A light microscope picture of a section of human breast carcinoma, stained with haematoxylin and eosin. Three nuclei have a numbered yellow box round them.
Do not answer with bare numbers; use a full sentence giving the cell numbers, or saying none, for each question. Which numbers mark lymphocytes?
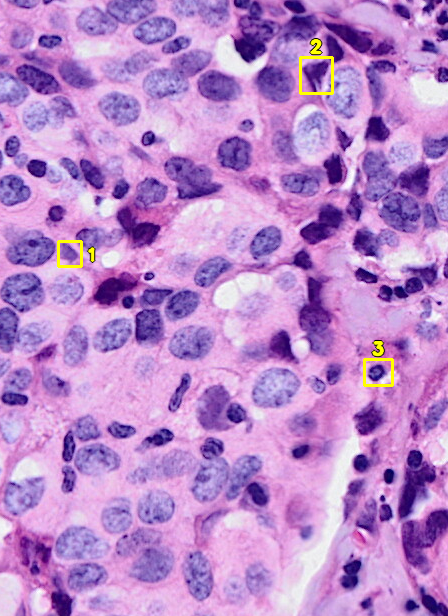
Only the cell with the number 3 is a lymphocyte.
